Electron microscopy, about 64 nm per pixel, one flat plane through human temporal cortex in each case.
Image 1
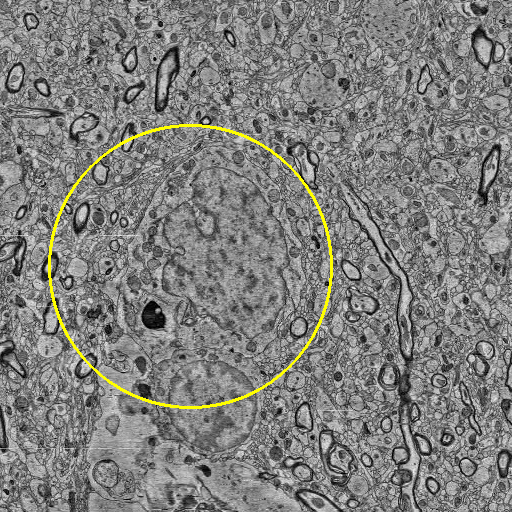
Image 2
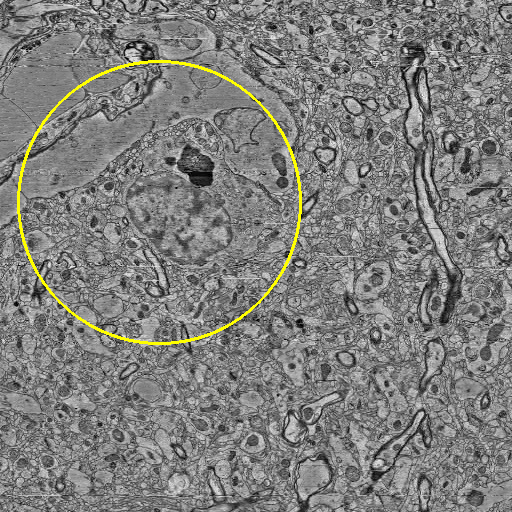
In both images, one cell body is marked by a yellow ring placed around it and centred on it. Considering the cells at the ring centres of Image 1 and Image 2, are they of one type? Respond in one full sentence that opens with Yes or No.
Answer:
No, two types apply to the ring-centred cells of Image 1 and Image 2.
